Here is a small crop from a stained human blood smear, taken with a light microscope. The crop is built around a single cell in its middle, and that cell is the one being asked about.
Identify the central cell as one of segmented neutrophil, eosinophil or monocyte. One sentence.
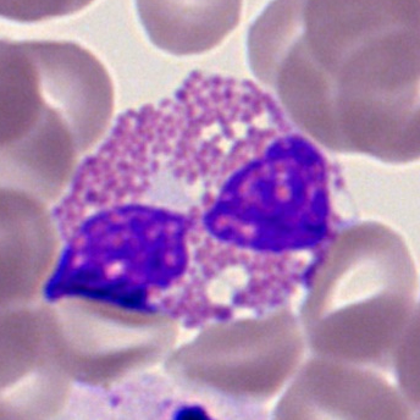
The cell at the middle of the crop is recognized as an eosinophil.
